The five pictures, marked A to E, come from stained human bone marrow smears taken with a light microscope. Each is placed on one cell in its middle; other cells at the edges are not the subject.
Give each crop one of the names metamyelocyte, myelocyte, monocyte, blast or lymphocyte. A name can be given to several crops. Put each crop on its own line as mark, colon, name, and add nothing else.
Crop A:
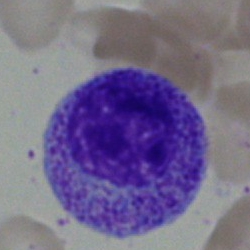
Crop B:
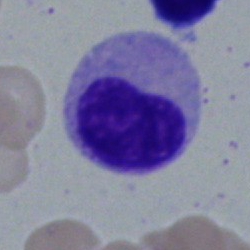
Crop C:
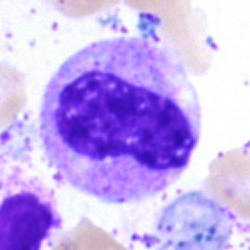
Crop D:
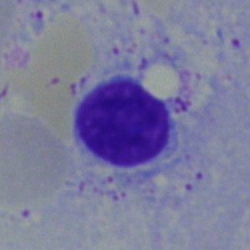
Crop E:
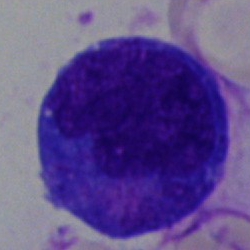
A: myelocyte
B: metamyelocyte
C: metamyelocyte
D: lymphocyte
E: blast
